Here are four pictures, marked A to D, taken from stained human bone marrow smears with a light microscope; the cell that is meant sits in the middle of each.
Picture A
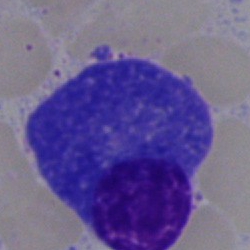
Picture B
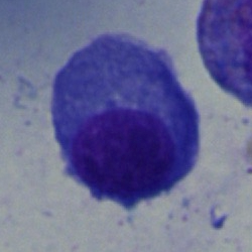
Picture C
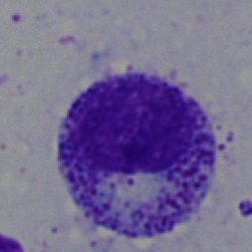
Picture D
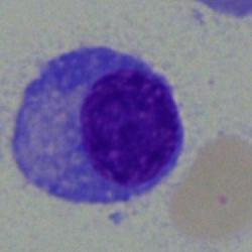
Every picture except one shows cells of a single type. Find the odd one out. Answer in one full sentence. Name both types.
The different one is picture C; it shows a myelocyte, whereas all the others show plasma cells.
